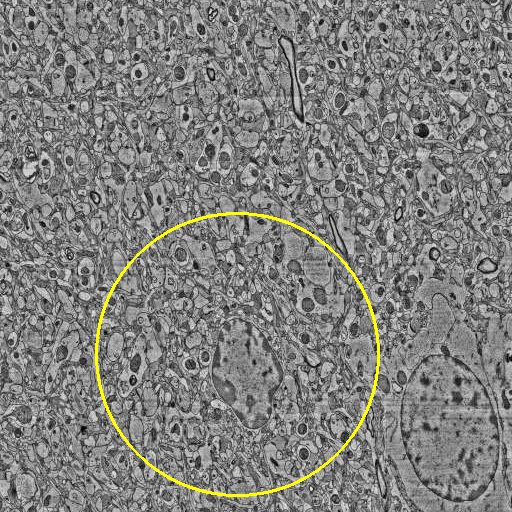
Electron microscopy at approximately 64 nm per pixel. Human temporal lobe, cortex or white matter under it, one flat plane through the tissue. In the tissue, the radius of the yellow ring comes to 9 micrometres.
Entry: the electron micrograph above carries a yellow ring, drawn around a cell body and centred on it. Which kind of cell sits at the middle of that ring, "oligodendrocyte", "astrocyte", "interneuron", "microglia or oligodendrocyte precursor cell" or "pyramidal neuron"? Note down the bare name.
microglia or oligodendrocyte precursor cell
